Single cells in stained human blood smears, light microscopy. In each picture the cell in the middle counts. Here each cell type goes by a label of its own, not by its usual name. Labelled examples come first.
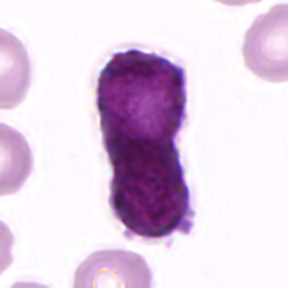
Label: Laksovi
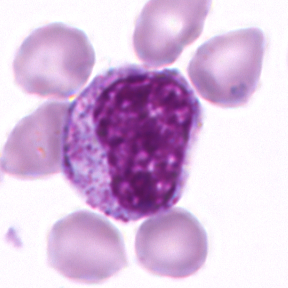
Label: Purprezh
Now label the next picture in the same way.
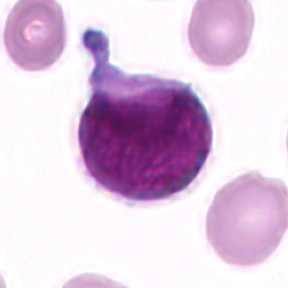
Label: Laksovi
